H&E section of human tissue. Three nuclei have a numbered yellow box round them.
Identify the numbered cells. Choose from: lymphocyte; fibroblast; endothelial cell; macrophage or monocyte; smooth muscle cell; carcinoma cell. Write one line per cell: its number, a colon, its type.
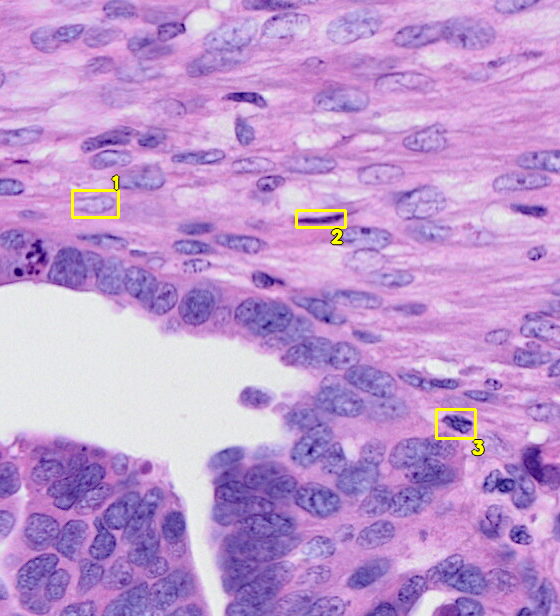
1: fibroblast
2: fibroblast
3: lymphocyte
